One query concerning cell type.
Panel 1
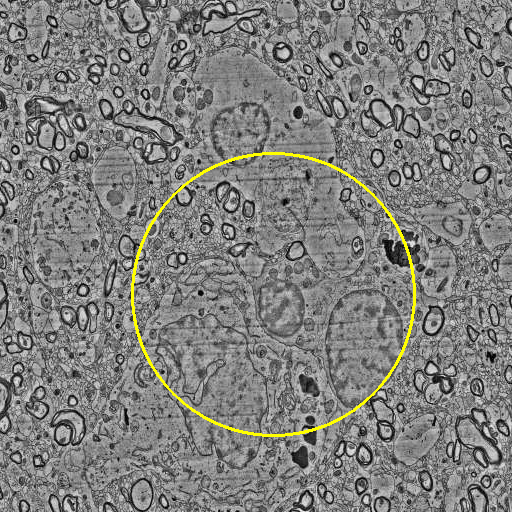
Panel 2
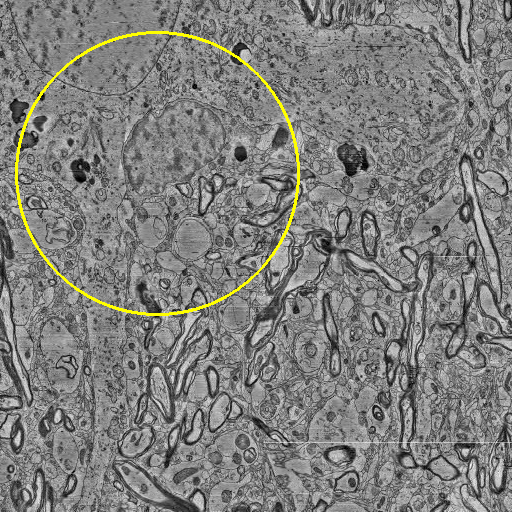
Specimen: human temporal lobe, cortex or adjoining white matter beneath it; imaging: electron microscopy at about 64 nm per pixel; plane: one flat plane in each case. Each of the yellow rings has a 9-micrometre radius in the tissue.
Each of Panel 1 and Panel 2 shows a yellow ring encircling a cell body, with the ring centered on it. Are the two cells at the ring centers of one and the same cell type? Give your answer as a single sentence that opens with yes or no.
Yes, the cell centered in Panel 1 and the one in Panel 2 share a type.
